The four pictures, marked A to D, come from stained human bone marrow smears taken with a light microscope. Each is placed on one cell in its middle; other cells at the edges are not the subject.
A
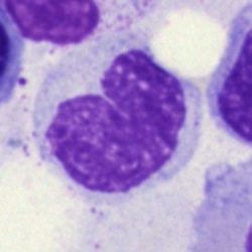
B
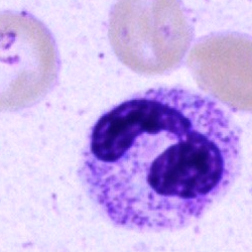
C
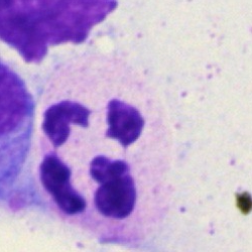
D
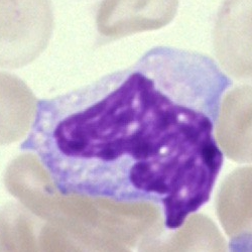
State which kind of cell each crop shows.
A: monocyte
B: segmented neutrophil
C: segmented neutrophil
D: monocyte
